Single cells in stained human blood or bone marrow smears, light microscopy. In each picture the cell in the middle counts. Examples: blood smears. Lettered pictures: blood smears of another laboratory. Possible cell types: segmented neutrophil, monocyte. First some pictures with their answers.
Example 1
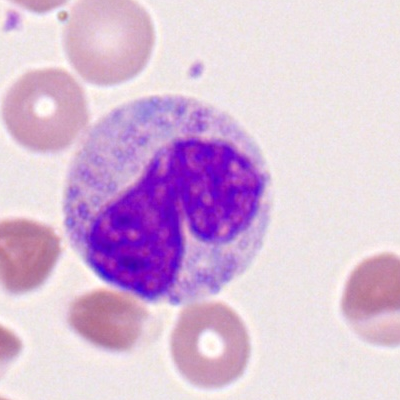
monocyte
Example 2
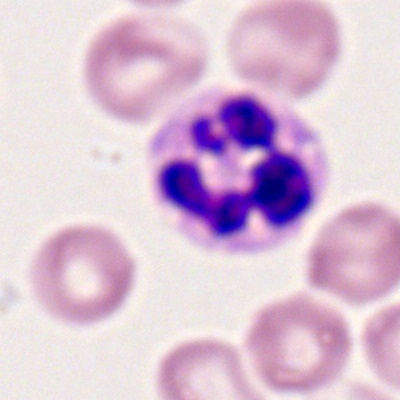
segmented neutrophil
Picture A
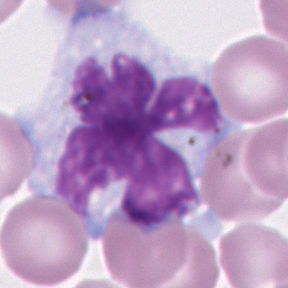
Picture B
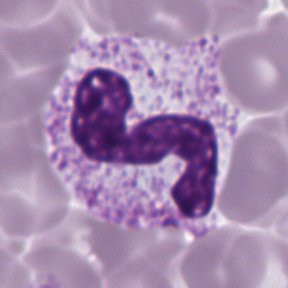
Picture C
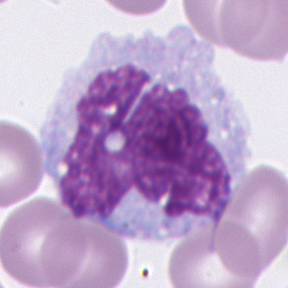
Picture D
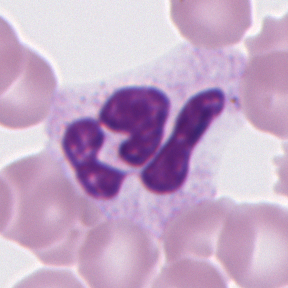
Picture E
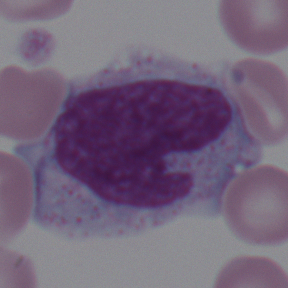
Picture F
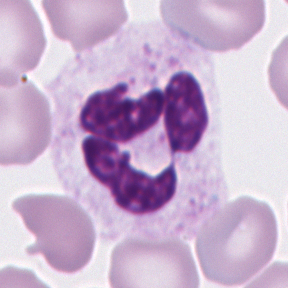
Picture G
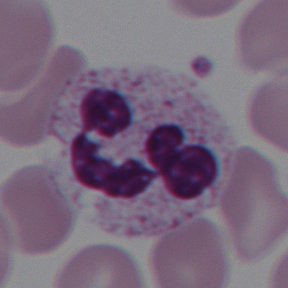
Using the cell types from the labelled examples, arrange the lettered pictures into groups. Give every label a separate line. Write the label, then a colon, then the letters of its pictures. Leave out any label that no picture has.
segmented neutrophil: B, D, F, G
monocyte: A, C, E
